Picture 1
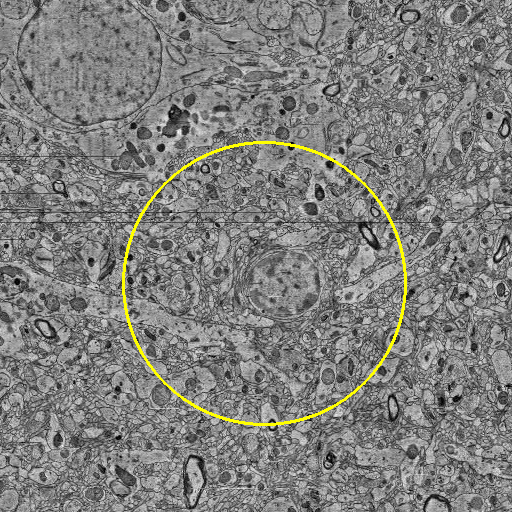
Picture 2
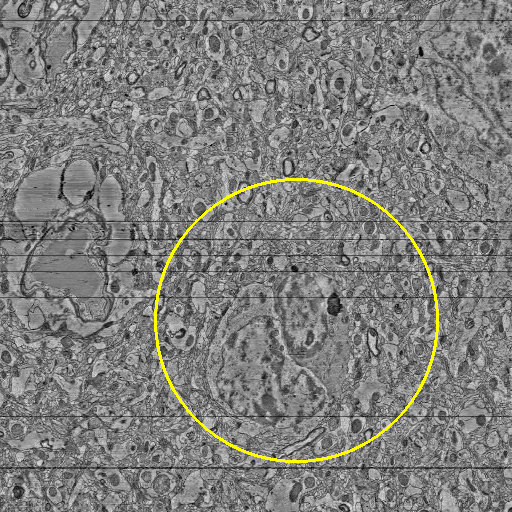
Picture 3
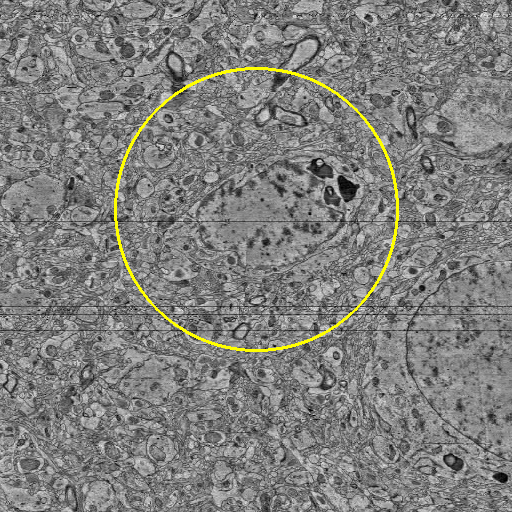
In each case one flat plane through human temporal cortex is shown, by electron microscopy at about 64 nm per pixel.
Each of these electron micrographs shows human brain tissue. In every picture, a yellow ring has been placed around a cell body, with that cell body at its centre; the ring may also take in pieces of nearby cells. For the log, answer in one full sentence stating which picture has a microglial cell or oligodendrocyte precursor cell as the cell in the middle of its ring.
In picture 1, the cell at the centre of the yellow ring is the requested one.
